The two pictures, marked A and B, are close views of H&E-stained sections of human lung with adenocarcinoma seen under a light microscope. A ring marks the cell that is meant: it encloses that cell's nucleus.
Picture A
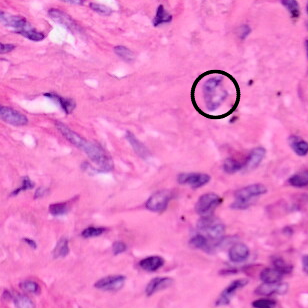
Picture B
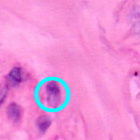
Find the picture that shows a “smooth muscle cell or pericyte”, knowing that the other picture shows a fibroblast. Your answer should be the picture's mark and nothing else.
B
